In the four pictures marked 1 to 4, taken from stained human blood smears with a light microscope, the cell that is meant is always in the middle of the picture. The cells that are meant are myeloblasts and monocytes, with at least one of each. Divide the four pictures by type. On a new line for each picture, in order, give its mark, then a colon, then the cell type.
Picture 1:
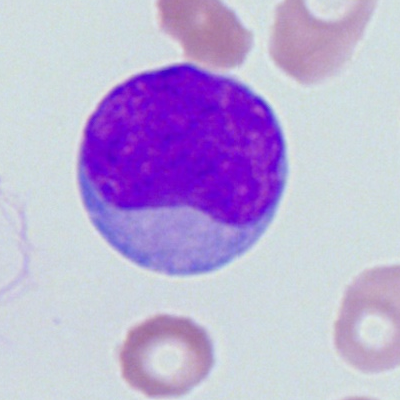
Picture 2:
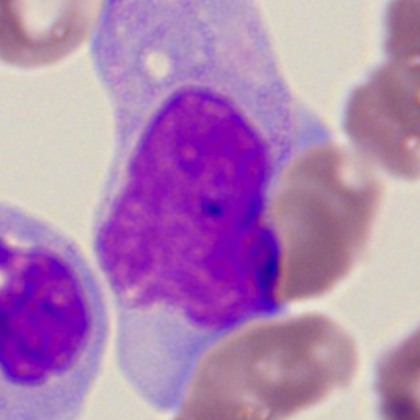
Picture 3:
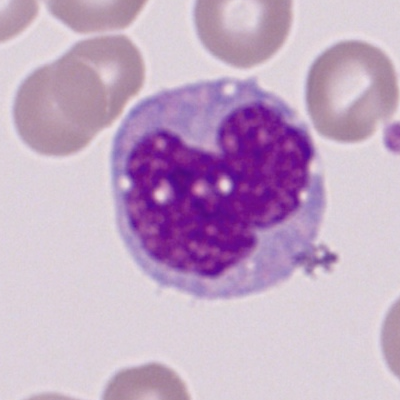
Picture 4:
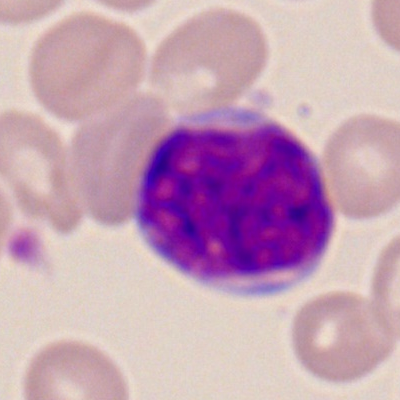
1: myeloblast
2: monocyte
3: monocyte
4: myeloblast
